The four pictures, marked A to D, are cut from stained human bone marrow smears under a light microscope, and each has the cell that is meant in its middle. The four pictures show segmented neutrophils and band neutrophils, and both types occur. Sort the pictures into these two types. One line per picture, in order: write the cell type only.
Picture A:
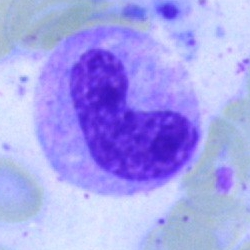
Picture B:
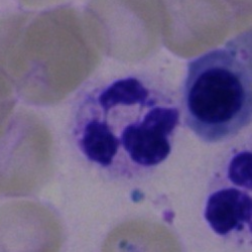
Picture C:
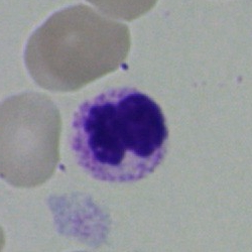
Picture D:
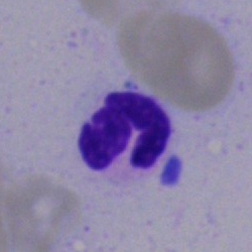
band neutrophil
segmented neutrophil
segmented neutrophil
segmented neutrophil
